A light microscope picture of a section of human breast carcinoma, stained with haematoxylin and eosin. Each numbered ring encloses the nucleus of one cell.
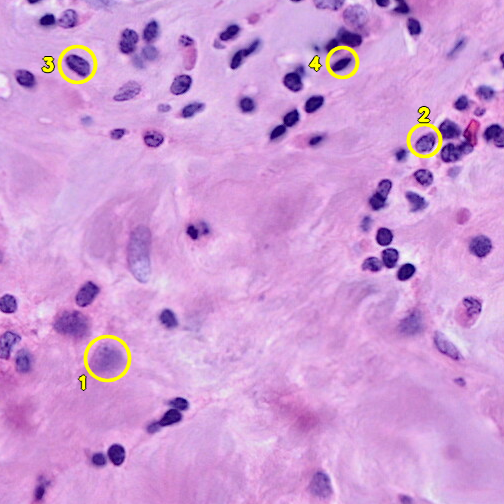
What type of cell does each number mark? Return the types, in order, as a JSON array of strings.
["fibroblast", "lymphocyte", "lymphocyte", "lymphocyte"]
